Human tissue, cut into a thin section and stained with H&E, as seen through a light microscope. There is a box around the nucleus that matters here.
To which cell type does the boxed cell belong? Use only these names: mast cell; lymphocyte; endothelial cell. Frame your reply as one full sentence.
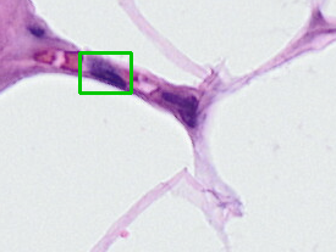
Cytologically, the boxed cell is to be regarded as an endothelial cell.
